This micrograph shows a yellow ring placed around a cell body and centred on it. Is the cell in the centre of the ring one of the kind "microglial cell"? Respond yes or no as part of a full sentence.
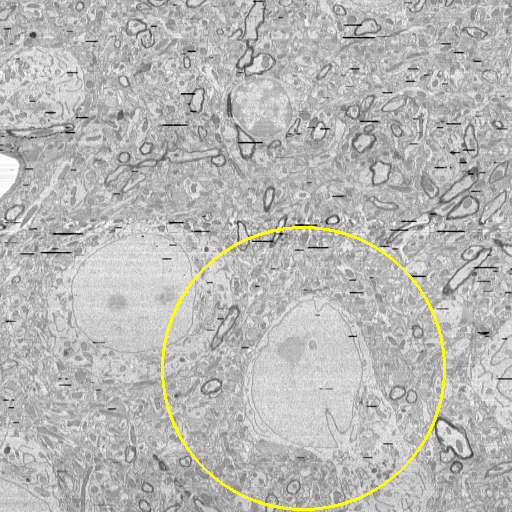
No, the cell in the centre of the ring within the picture belongs to another kind.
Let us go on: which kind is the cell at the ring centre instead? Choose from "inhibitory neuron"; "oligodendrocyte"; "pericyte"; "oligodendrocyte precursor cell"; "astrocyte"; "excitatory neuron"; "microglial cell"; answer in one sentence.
It is an excitatory neuron that the ring is centred on.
